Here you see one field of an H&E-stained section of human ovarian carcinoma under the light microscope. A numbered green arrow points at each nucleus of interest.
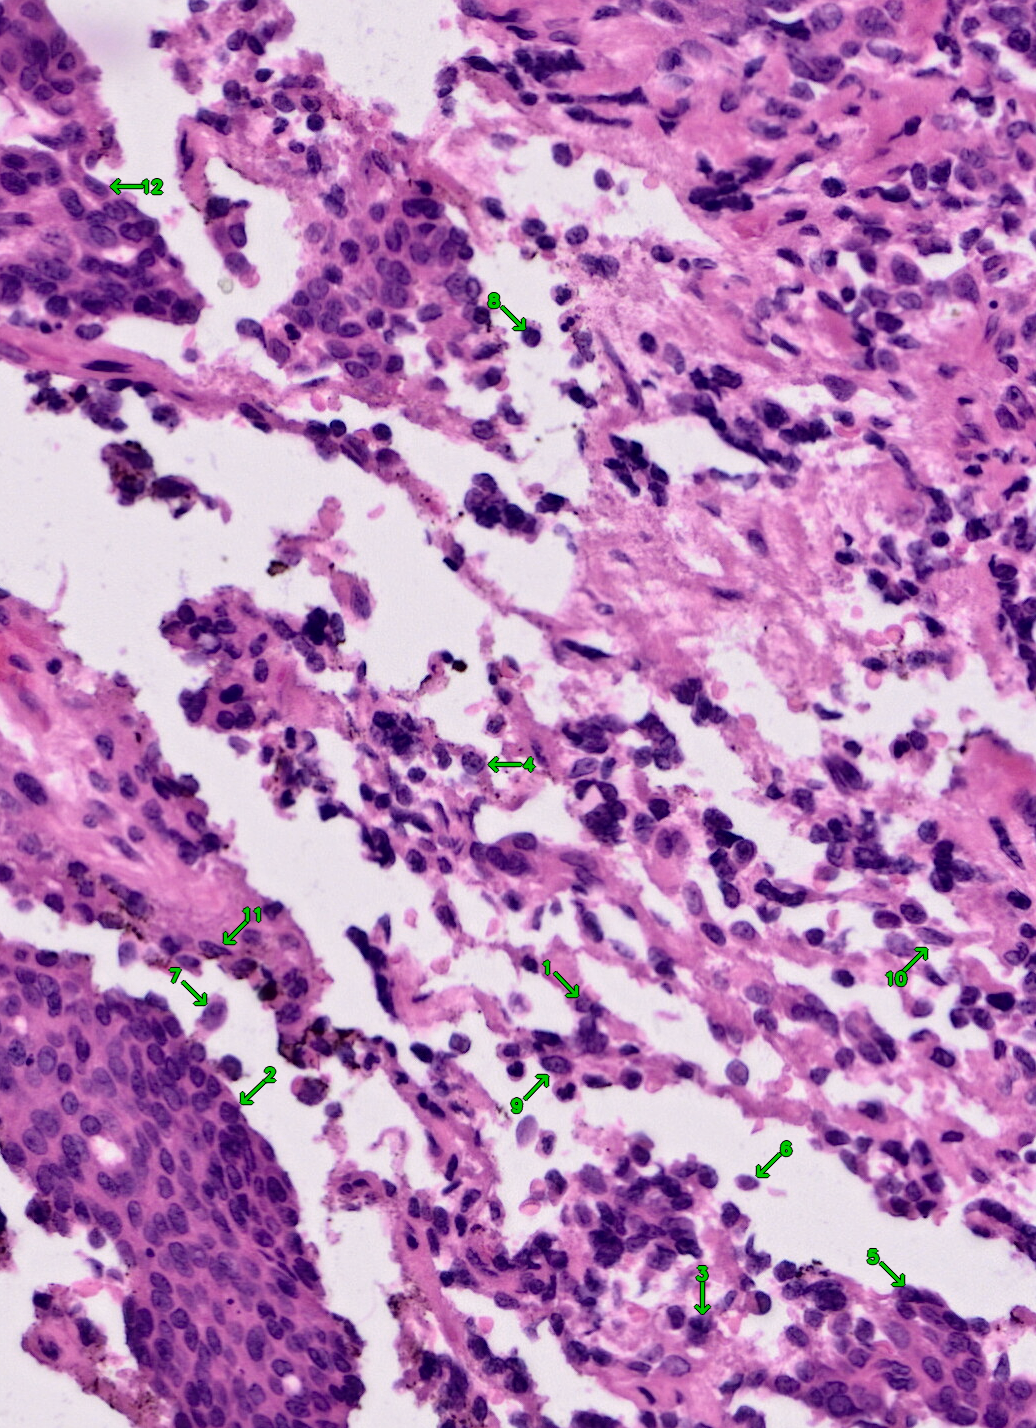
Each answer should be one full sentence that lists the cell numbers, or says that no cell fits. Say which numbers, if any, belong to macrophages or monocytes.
The numbers 1, 4, 9, 10 and 11 in this section indicate macrophages or monocytes.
